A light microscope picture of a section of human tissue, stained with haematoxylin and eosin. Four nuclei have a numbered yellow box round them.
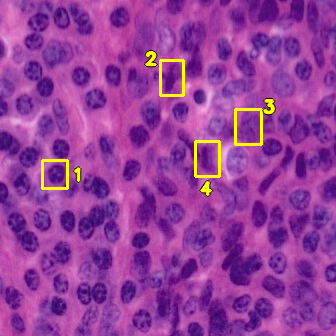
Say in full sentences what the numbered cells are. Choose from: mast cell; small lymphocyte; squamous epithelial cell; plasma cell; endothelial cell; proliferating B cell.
Cell 1 is a plasma cell. Cells 2, 3 and 4 are squamous epithelial cells.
